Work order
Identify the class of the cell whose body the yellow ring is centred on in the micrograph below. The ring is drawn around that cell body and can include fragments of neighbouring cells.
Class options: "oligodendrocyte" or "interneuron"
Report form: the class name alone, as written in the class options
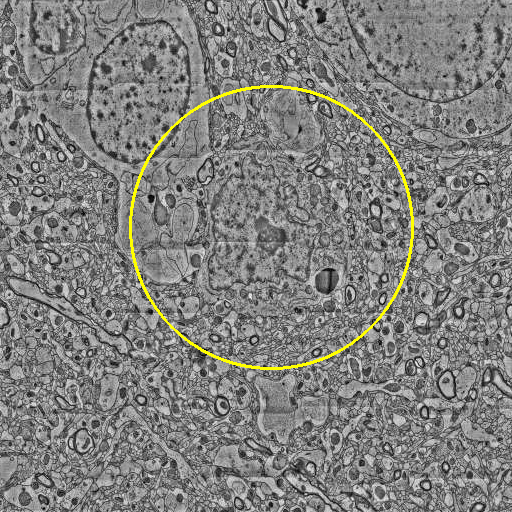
interneuron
